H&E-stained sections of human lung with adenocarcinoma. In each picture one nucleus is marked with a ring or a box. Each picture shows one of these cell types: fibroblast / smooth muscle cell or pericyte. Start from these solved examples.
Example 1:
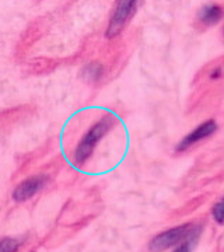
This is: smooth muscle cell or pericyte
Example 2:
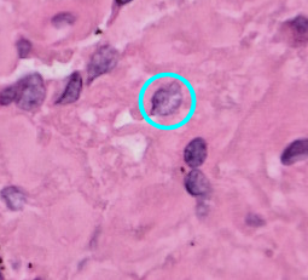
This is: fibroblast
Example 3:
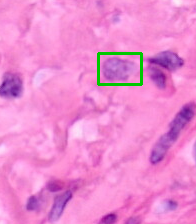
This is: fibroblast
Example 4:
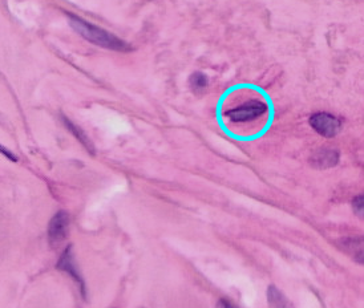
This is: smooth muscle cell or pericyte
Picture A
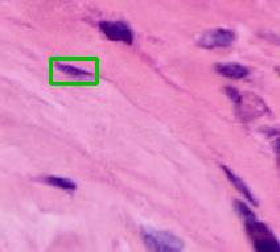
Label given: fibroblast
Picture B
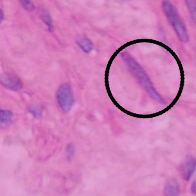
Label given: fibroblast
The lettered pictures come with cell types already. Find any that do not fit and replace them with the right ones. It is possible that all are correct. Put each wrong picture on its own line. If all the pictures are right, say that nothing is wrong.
B: not fibroblast but smooth muscle cell or pericyte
